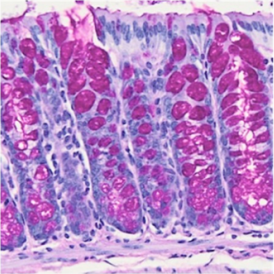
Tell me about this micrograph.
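Straight tubular crypts run side by side from the surface down to a thin band of connective tissue and muscle at the bottom. The crypt walls are crowded with goblet cells whose large rounded cups are filled with deep magenta mucus, many of them abutting one another. Thin pale strands of lamina propria with scattered nuclei separate neighbouring crypts.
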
